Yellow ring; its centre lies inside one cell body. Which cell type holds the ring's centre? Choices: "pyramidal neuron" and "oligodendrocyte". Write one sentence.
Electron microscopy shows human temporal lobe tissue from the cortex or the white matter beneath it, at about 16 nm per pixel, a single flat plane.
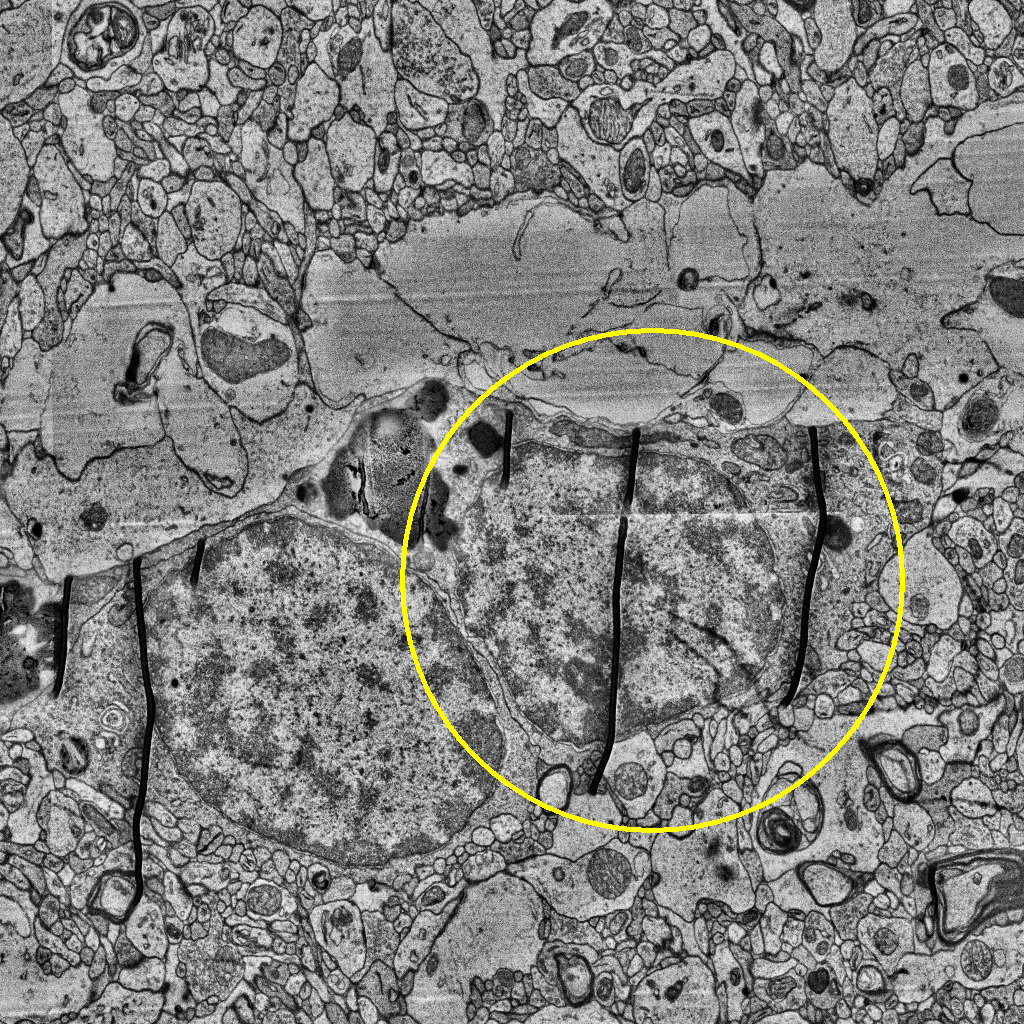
At the centre of the ring sits an oligodendrocyte.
